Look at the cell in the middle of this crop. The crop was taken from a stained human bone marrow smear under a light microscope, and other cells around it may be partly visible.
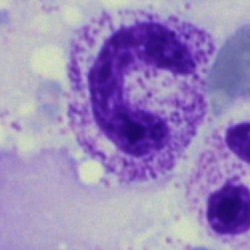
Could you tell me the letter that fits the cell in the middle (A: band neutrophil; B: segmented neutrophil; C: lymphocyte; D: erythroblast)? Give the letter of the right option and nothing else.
A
